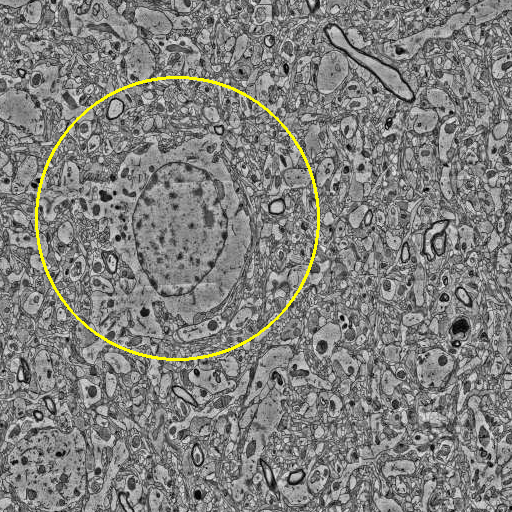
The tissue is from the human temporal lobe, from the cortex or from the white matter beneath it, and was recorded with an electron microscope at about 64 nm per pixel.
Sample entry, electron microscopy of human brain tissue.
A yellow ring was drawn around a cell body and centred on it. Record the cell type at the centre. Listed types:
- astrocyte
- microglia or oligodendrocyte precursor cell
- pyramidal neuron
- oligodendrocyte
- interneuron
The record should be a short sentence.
The cell at the ring's centre is an astrocyte.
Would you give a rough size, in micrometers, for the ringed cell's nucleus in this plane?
The nucleus of the ringed cell is approximately 9 by 6 micrometres in this plane.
